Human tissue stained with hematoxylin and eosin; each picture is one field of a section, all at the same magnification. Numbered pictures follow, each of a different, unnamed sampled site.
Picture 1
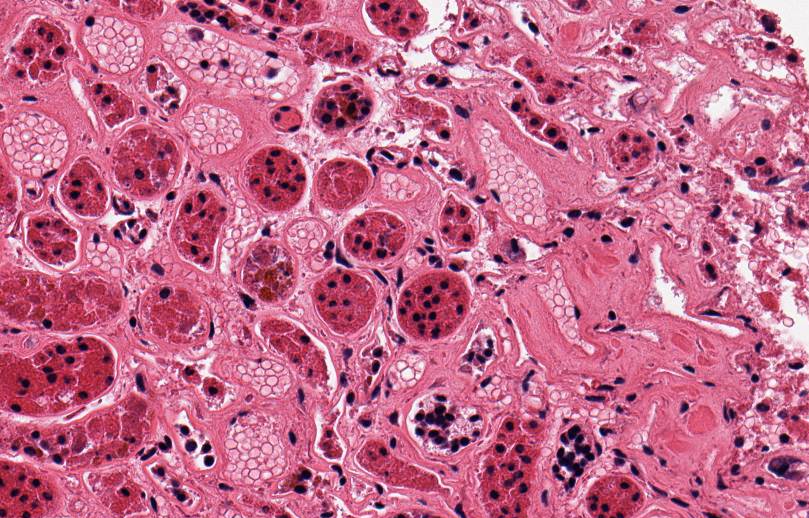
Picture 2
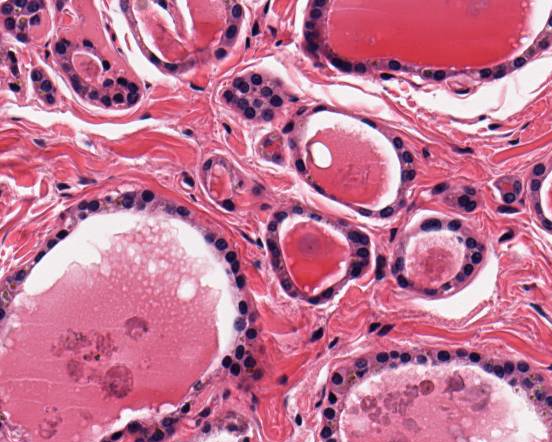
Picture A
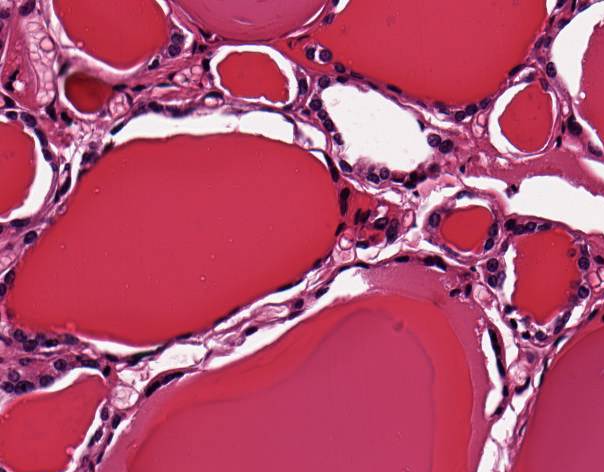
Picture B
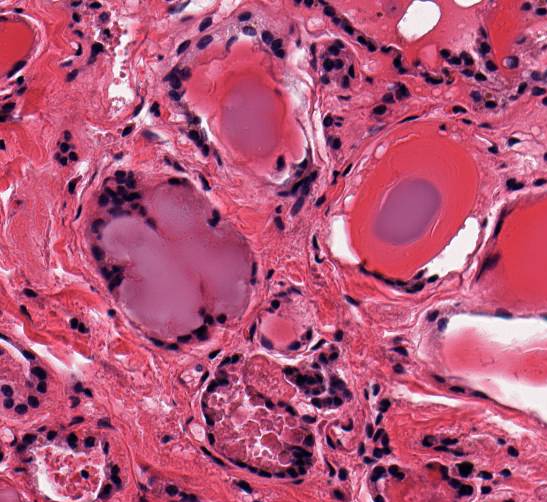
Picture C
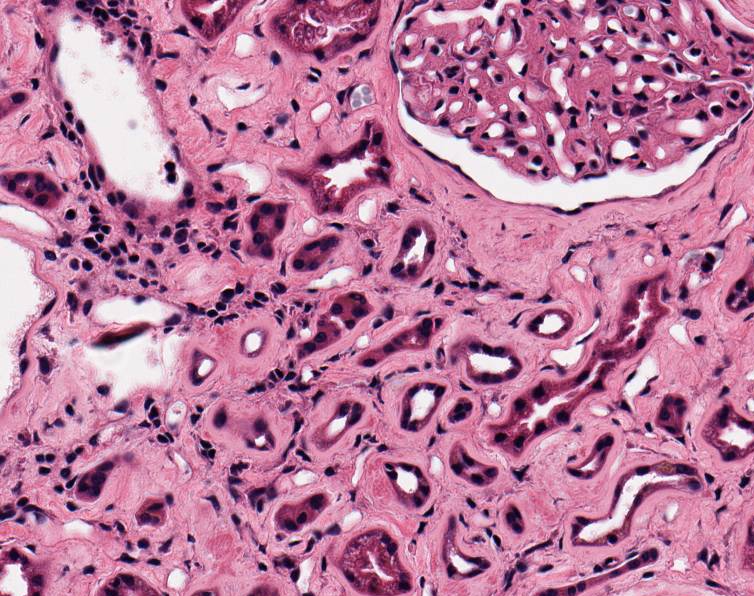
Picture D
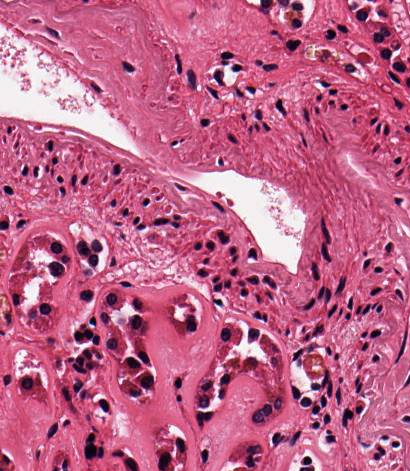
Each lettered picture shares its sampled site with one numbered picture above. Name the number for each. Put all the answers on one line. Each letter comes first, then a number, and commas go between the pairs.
A 2, B 2, C 1, D 1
